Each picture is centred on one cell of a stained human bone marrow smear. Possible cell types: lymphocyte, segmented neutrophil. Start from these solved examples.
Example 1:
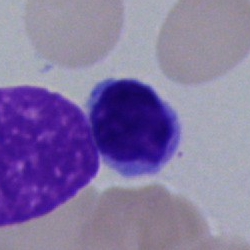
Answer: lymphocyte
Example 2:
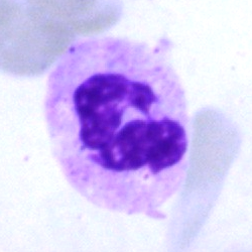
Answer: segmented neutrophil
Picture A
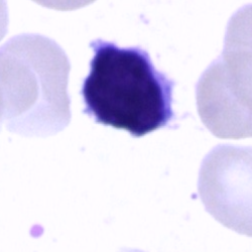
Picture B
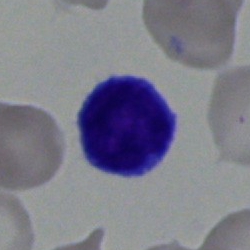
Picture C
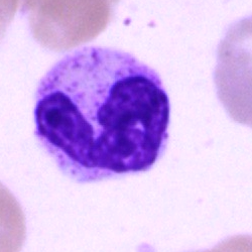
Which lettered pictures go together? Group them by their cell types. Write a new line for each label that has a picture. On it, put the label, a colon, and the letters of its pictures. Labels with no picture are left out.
lymphocyte: A, B
segmented neutrophil: C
